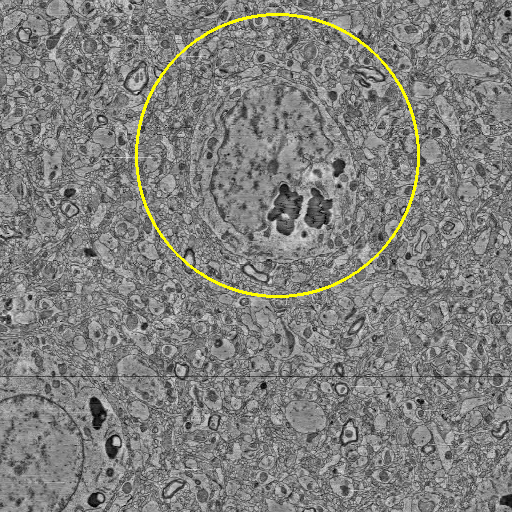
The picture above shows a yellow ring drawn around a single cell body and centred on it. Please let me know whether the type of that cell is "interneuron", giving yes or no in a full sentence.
Yes, that type fits the cell at the centre of the ring above.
